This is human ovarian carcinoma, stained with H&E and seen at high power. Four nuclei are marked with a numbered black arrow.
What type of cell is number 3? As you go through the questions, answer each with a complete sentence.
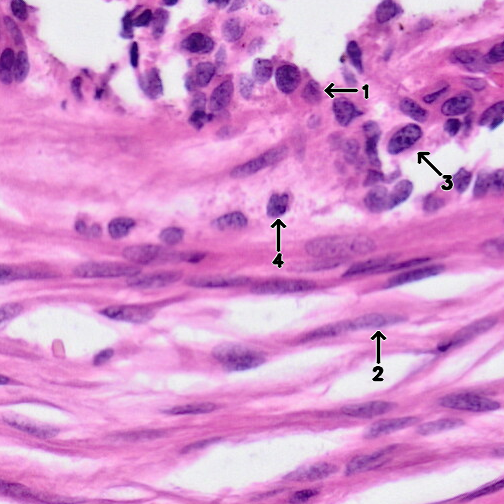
The cell numbered 3 has been identified as a macrophage or monocyte.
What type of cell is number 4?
Cell 4, among those numbered, is a macrophage or monocyte.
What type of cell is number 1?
Among the marked nuclei, number 1 belongs to a carcinoma cell.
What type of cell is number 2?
Regarding cell 2, this one is a fibroblast.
